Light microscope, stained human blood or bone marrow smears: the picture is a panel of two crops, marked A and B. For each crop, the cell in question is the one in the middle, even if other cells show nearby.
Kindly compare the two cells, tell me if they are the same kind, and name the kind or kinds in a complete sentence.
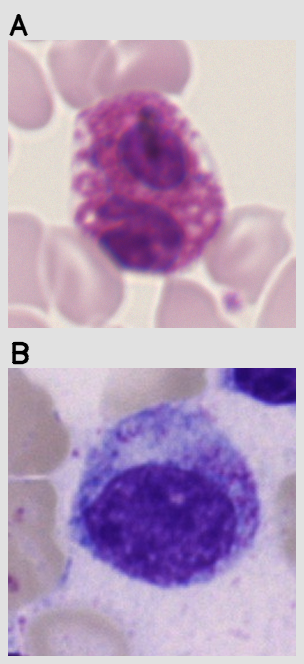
No, crop A shows an eosinophil, whereas in crop B the cell is a myelocyte.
